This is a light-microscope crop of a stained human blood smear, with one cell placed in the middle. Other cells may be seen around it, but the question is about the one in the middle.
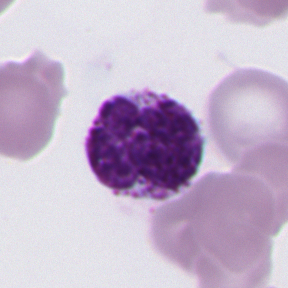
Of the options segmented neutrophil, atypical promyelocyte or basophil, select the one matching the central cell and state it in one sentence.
The cell in the middle of the field of view is a basophil.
